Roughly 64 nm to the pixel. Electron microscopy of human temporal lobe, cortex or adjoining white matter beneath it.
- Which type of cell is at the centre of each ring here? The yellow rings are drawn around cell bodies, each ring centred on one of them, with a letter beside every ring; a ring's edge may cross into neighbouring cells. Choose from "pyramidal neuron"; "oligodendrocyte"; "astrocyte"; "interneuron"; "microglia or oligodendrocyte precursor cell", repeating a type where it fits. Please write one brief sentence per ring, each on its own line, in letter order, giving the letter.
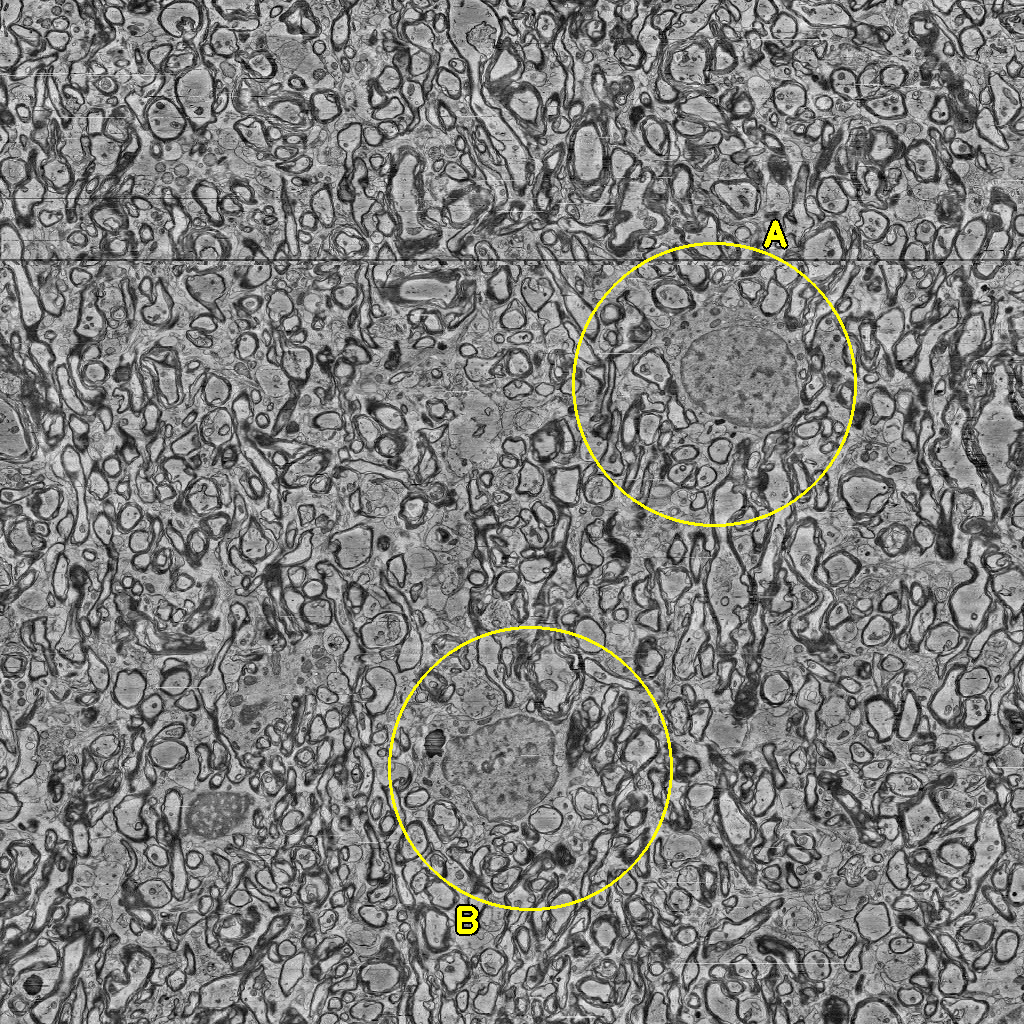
Ring A is centred over an oligodendrocyte.
Ring B is centred over an oligodendrocyte.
